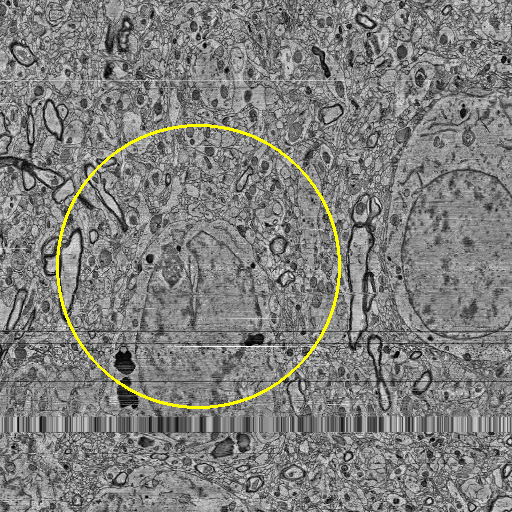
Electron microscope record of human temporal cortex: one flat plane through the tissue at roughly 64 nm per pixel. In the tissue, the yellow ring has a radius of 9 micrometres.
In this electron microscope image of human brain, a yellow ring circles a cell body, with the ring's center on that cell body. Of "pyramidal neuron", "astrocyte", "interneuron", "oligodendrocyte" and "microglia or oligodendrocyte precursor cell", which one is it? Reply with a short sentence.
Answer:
It is an interneuron at the center of the ring.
